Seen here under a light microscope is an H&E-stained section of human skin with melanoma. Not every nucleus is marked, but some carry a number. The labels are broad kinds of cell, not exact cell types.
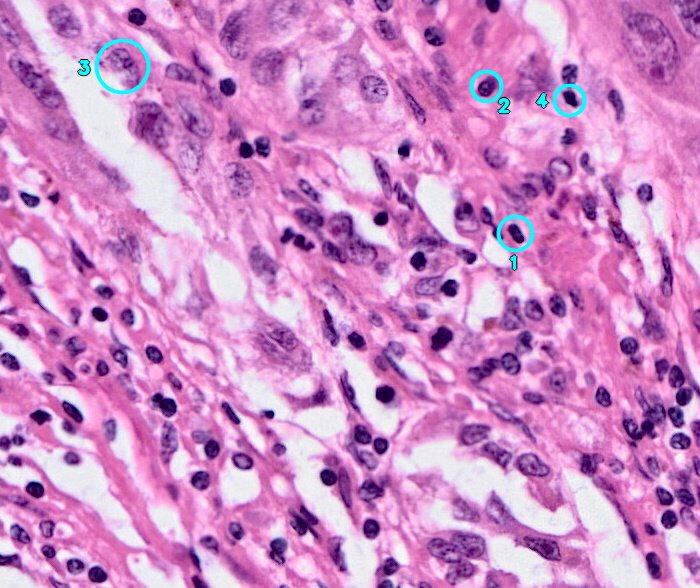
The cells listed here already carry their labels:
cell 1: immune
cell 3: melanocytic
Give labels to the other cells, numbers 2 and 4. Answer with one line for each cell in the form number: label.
2: immune
4: immune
